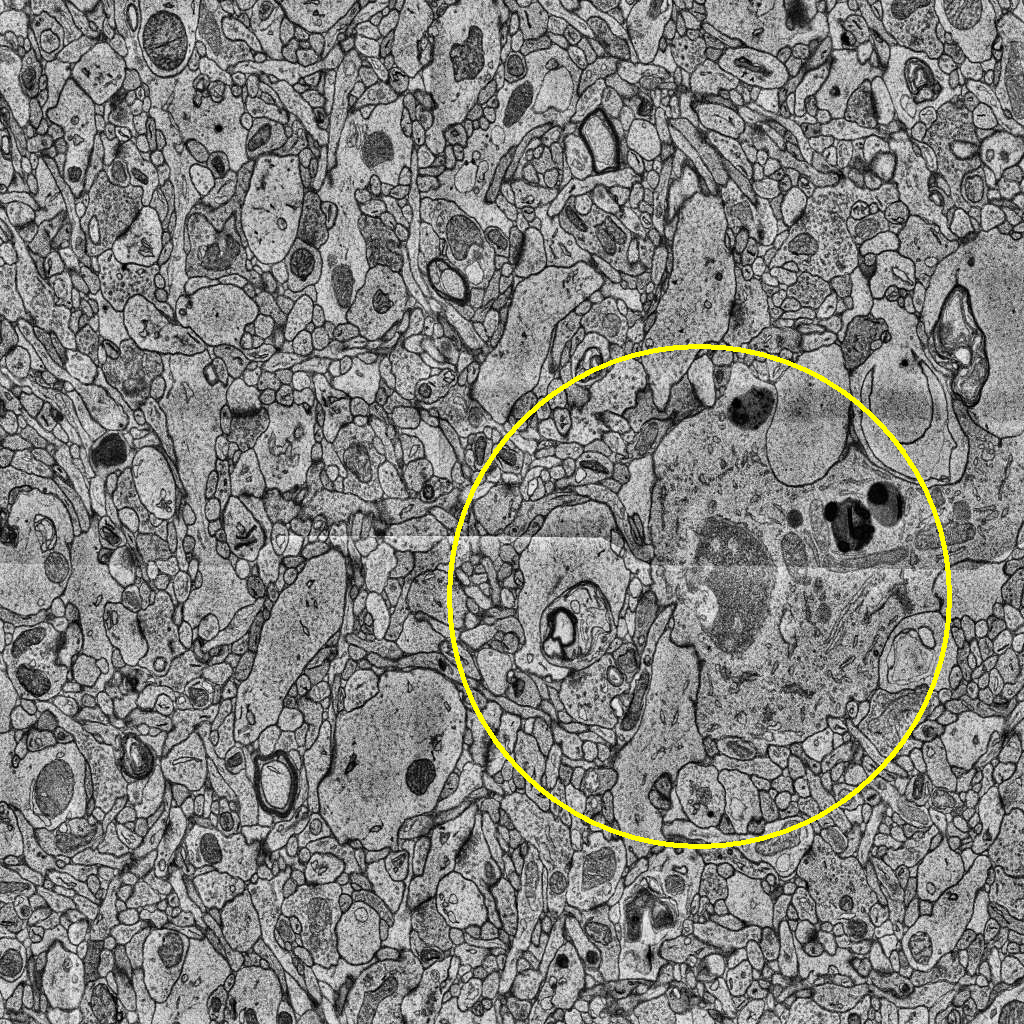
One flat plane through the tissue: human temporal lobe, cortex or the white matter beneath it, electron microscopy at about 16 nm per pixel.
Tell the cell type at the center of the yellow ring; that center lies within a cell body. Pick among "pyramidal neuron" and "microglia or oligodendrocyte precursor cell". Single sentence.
The ring's center lies in the body of a microglial cell or oligodendrocyte precursor cell.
